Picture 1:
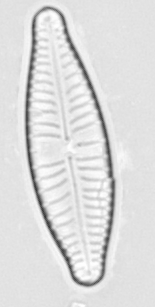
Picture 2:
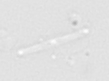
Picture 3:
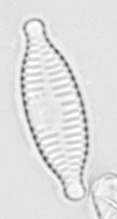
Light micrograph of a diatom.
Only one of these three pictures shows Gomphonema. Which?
Picture 1.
